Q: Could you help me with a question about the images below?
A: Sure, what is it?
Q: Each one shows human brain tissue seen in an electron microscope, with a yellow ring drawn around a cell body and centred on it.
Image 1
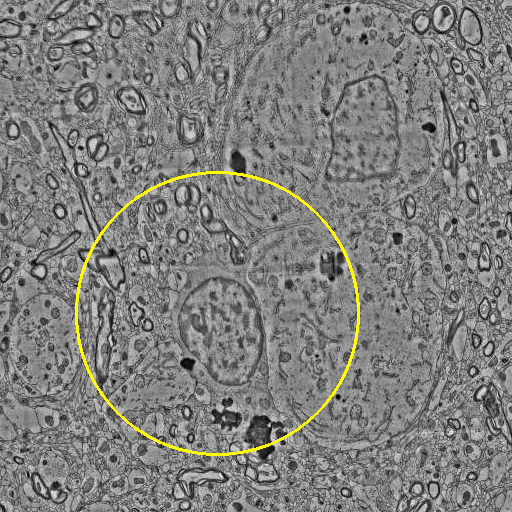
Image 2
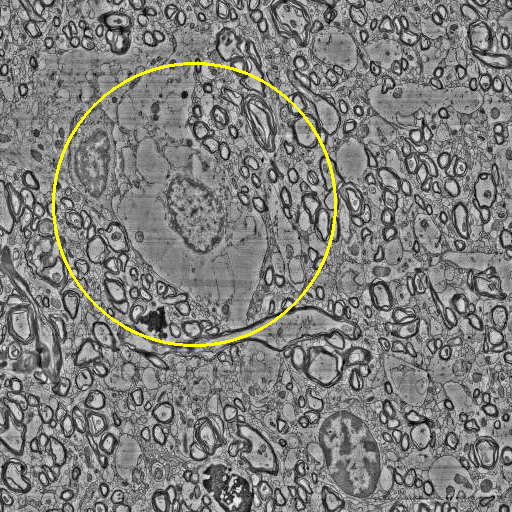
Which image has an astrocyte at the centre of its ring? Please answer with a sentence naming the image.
Image 2 has it at the centre of its ring.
